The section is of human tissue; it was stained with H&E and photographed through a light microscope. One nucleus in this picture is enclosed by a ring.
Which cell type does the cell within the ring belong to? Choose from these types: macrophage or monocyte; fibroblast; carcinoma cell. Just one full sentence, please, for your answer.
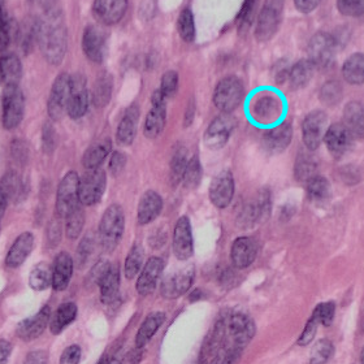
The category to which the cell within the ring belongs is that of a carcinoma cell.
